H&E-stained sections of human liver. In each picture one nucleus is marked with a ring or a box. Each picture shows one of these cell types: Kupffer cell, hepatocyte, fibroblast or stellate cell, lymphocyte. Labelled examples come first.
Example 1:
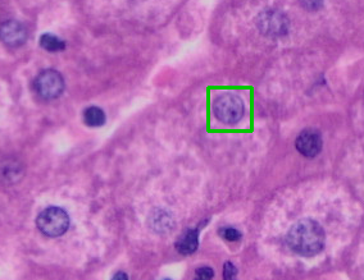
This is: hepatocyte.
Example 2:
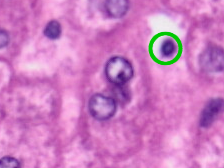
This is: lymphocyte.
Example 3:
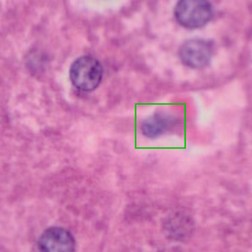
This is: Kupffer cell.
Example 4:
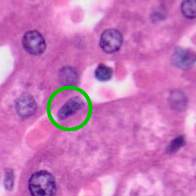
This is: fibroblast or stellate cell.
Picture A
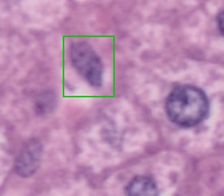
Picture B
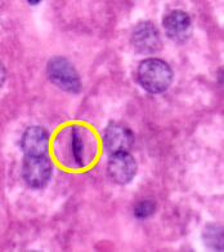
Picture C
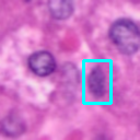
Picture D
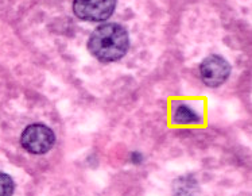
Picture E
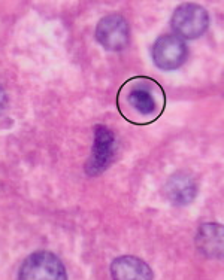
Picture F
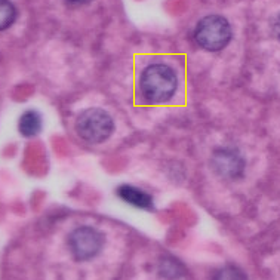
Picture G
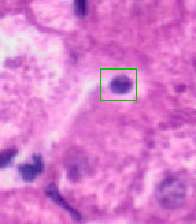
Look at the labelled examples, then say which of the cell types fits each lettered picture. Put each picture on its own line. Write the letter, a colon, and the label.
A: Kupffer cell.
B: fibroblast or stellate cell.
C: fibroblast or stellate cell.
D: fibroblast or stellate cell.
E: lymphocyte.
F: hepatocyte.
G: lymphocyte.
